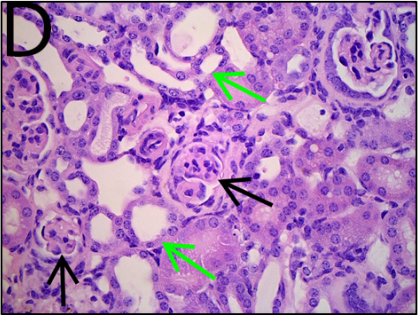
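Renal cortex with small, shrunken glomeruli and many tubules whose lumens are widened and empty. The tubular lining cells are flattened and thin, in contrast with plumper tubules nearby.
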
